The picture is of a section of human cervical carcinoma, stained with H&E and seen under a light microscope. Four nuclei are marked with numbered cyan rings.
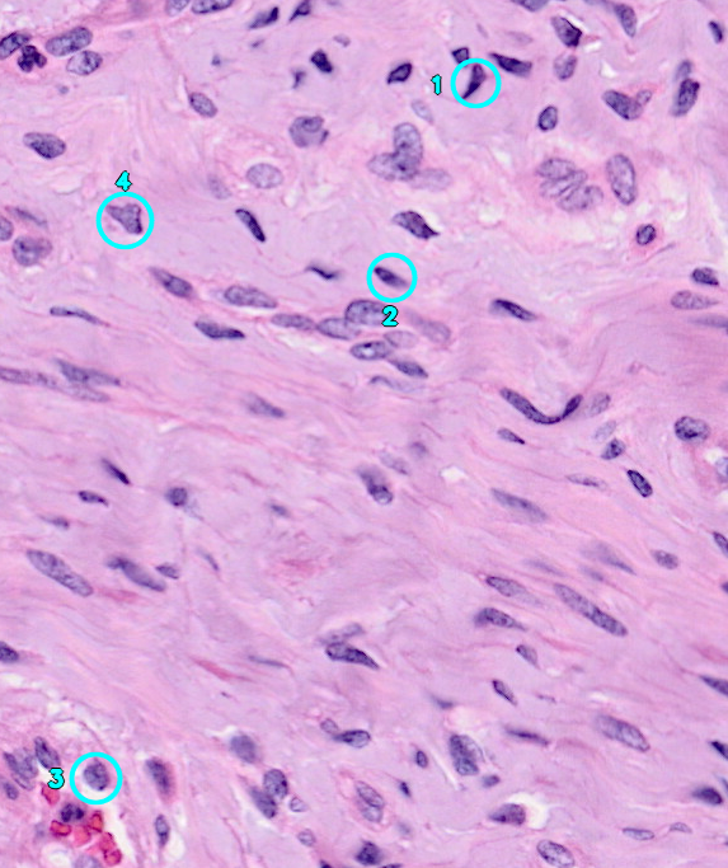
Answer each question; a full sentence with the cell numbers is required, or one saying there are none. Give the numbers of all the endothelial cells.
Cell 3 is the single numbered cell that is an endothelial cell.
